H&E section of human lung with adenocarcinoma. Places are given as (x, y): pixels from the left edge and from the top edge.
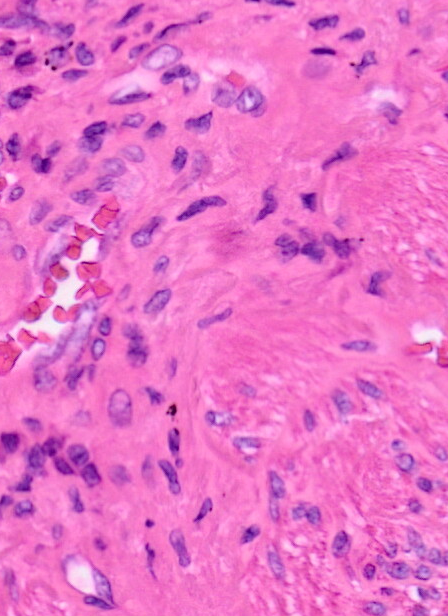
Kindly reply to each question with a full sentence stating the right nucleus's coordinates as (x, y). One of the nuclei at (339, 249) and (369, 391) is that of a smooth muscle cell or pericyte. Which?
The cell to which the nucleus at (369, 391) belongs is a smooth muscle cell or pericyte.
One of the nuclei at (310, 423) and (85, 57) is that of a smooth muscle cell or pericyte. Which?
At (310, 423) lies the nucleus that belongs to a smooth muscle cell or pericyte.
